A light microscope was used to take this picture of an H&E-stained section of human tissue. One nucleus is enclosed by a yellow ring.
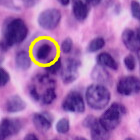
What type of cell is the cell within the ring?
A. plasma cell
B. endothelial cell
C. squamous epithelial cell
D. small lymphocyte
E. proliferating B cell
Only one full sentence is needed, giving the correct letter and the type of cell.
Option E names the cell within the ring correctly as a proliferating B cell.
